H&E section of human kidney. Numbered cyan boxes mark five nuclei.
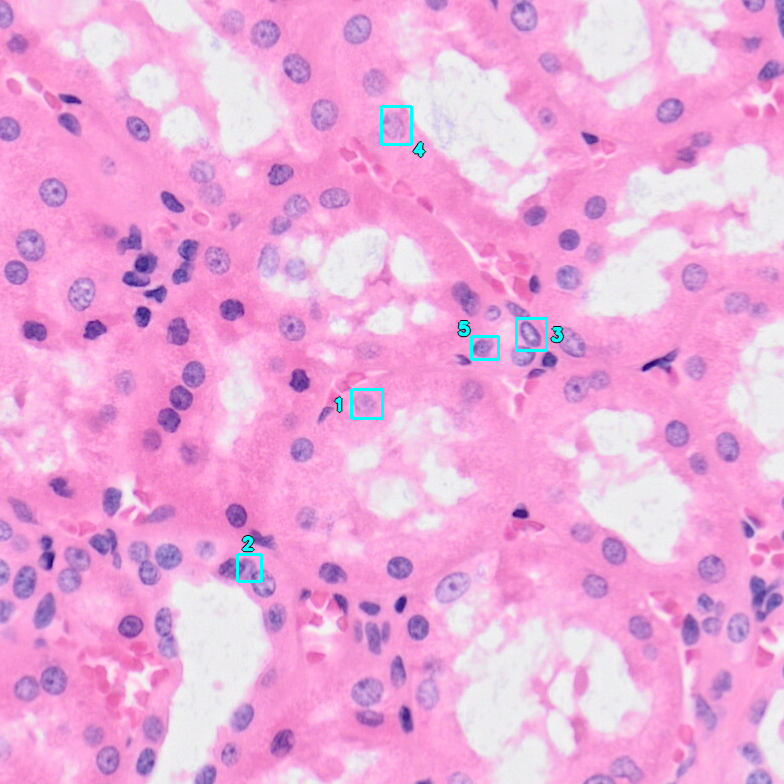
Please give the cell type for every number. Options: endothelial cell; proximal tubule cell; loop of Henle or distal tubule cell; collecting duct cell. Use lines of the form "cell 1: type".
cell 1: proximal tubule cell
cell 2: collecting duct cell
cell 3: collecting duct cell
cell 4: proximal tubule cell
cell 5: collecting duct cell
